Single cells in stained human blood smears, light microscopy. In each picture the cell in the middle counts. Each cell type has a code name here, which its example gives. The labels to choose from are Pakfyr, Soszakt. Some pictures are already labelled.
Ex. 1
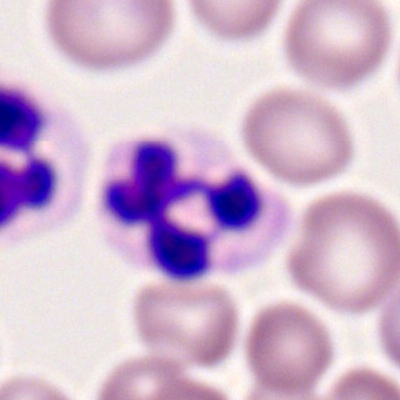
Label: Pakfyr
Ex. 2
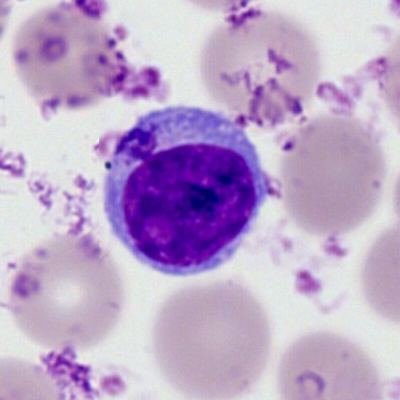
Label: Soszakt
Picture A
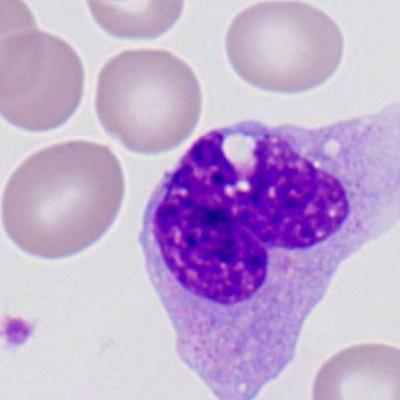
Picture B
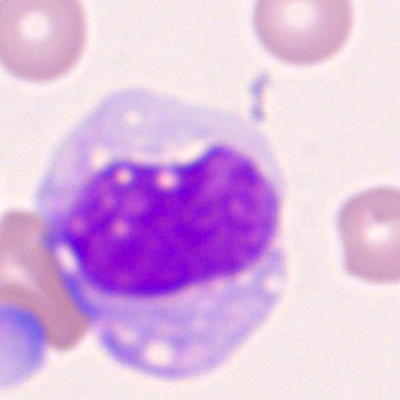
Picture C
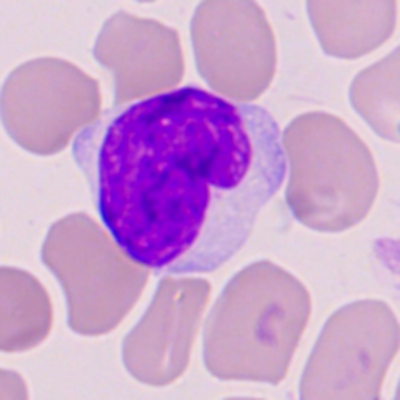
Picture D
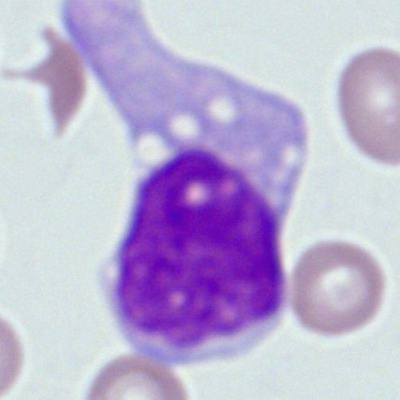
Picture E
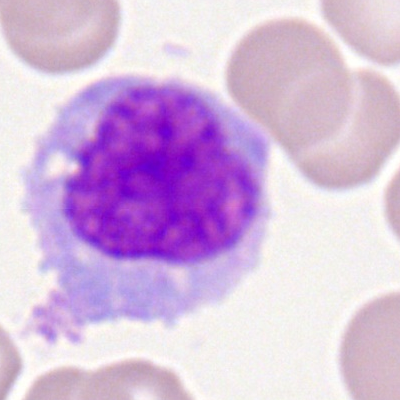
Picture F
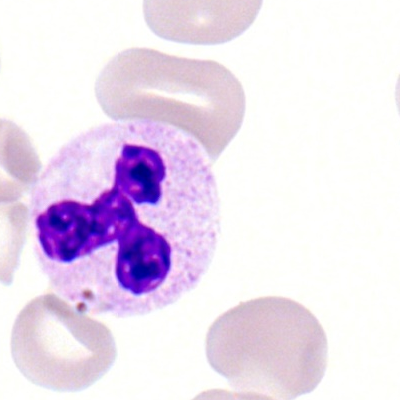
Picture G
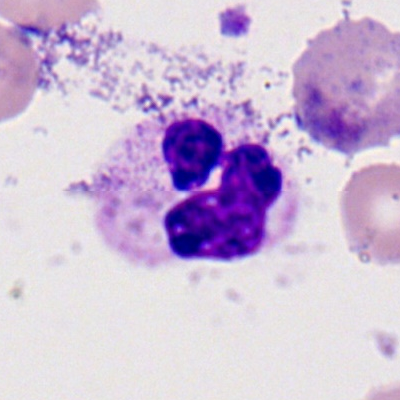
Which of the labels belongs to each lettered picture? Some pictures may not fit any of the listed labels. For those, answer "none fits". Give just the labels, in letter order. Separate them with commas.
none fits, none fits, Soszakt, none fits, none fits, Pakfyr, Pakfyr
